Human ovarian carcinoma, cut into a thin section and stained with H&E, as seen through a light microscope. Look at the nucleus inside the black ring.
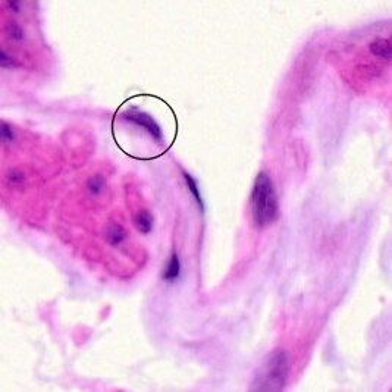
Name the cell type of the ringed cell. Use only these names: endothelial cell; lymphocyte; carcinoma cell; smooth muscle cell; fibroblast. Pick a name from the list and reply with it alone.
endothelial cell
